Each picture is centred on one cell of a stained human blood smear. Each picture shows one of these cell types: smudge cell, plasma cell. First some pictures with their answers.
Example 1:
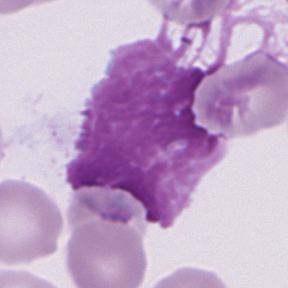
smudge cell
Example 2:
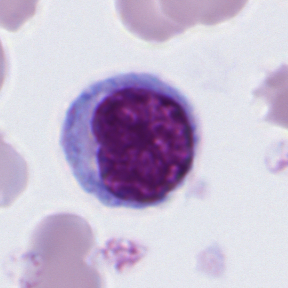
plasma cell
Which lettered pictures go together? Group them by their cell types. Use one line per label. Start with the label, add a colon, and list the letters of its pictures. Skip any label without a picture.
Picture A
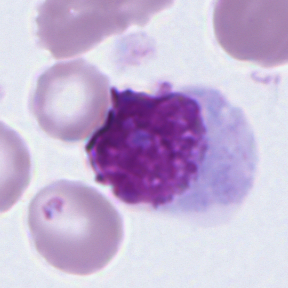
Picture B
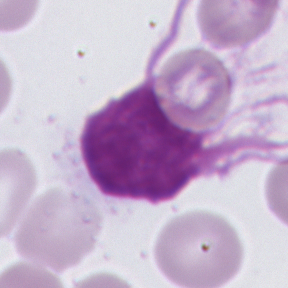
smudge cell: B
plasma cell: A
